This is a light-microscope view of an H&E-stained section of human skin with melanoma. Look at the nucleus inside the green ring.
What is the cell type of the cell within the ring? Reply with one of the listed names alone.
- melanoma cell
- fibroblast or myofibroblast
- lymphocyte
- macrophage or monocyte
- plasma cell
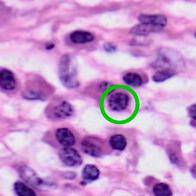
plasma cell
